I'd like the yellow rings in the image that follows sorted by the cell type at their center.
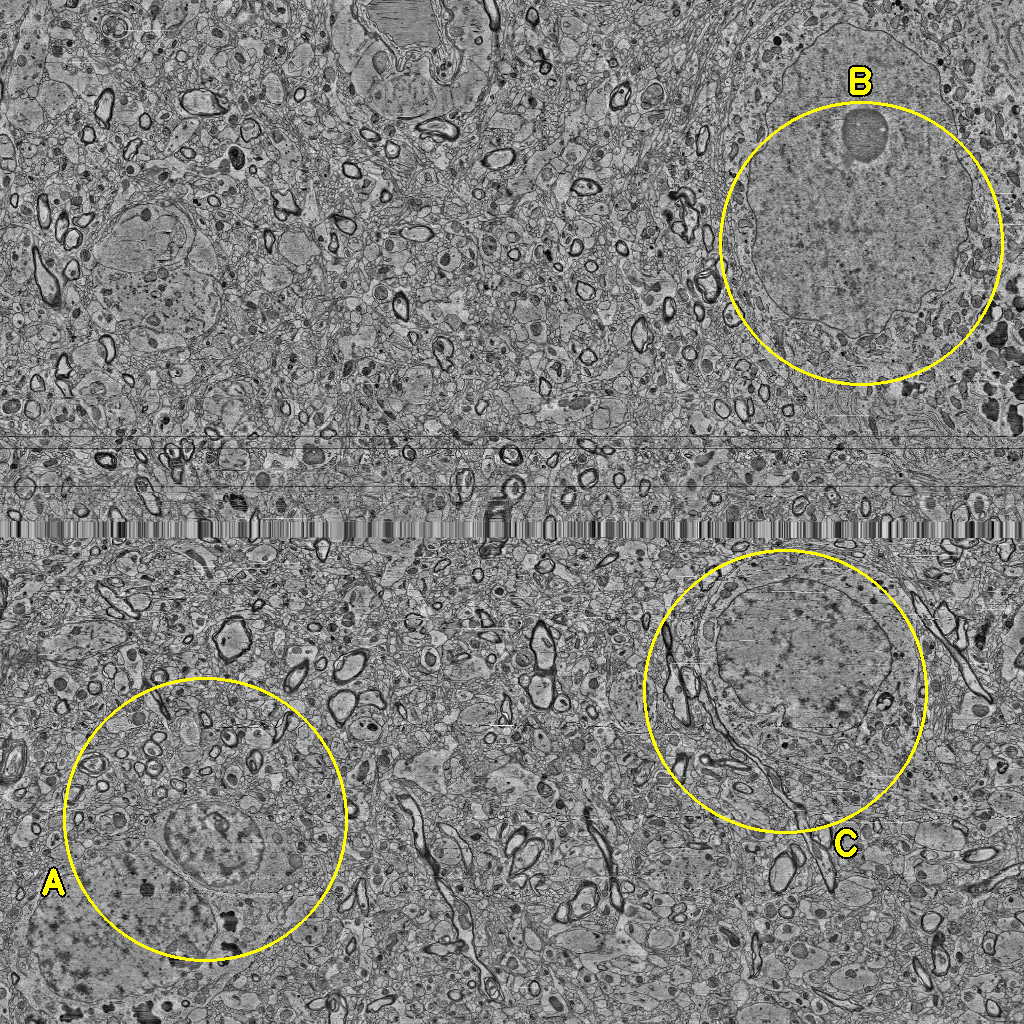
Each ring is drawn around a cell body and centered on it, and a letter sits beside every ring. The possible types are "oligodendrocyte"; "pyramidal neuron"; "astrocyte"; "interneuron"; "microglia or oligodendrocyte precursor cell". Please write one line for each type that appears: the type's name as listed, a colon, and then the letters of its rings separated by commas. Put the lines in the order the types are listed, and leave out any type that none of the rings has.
oligodendrocyte: A
pyramidal neuron: B, C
